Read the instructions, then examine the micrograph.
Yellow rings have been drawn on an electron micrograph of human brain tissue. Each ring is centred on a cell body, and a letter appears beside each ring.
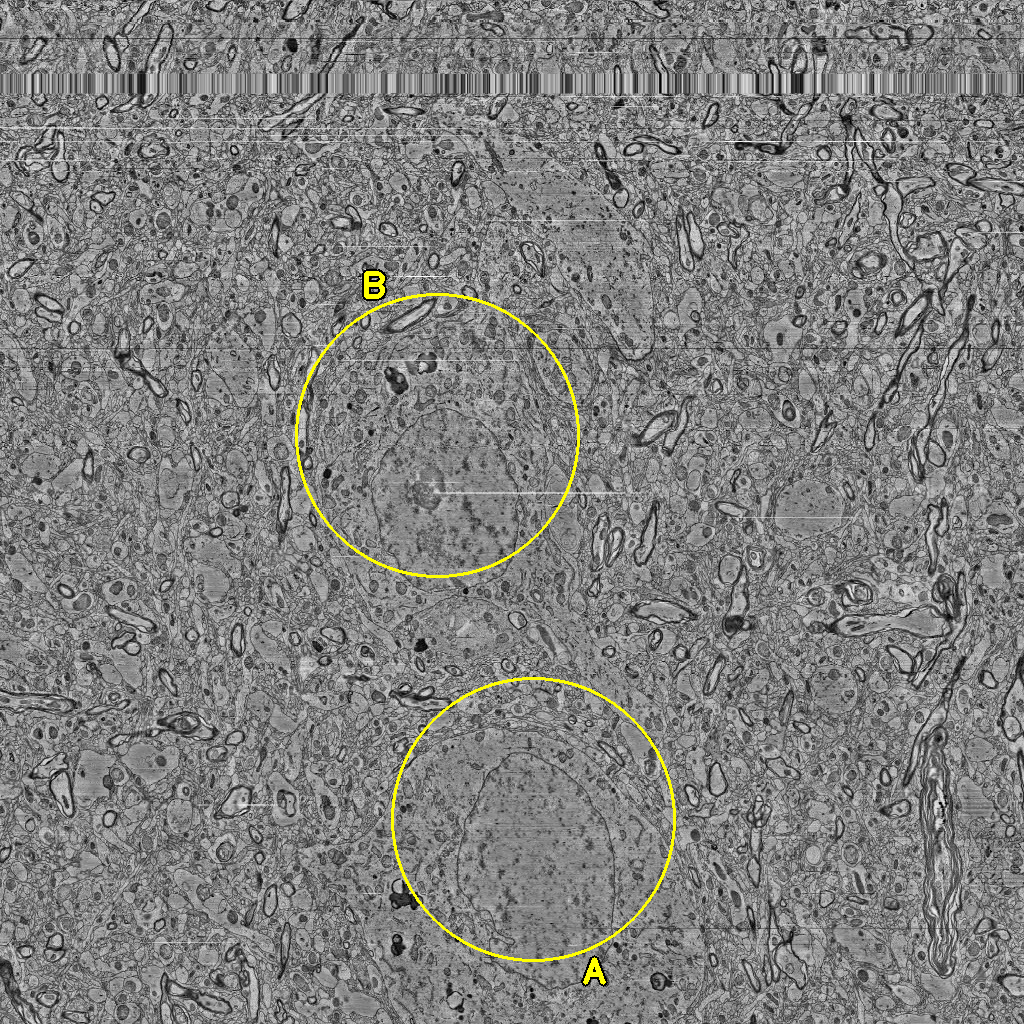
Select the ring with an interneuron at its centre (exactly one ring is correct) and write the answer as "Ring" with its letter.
Ring B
